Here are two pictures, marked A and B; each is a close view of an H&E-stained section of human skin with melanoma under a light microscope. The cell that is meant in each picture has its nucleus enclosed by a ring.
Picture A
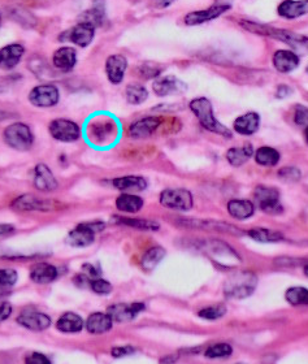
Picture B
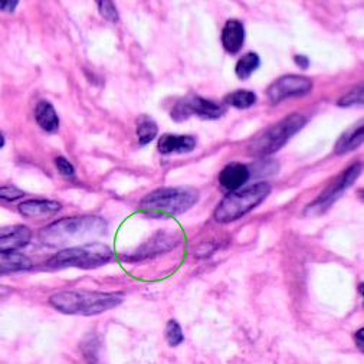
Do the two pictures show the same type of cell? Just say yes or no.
no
